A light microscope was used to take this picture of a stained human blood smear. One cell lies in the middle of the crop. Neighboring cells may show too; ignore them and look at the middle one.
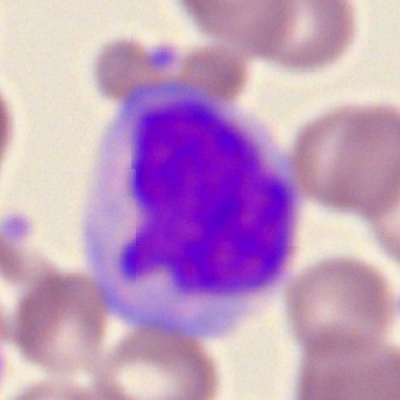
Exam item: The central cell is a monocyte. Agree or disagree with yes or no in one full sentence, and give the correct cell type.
Yes, it is a monocyte that lies in the middle.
